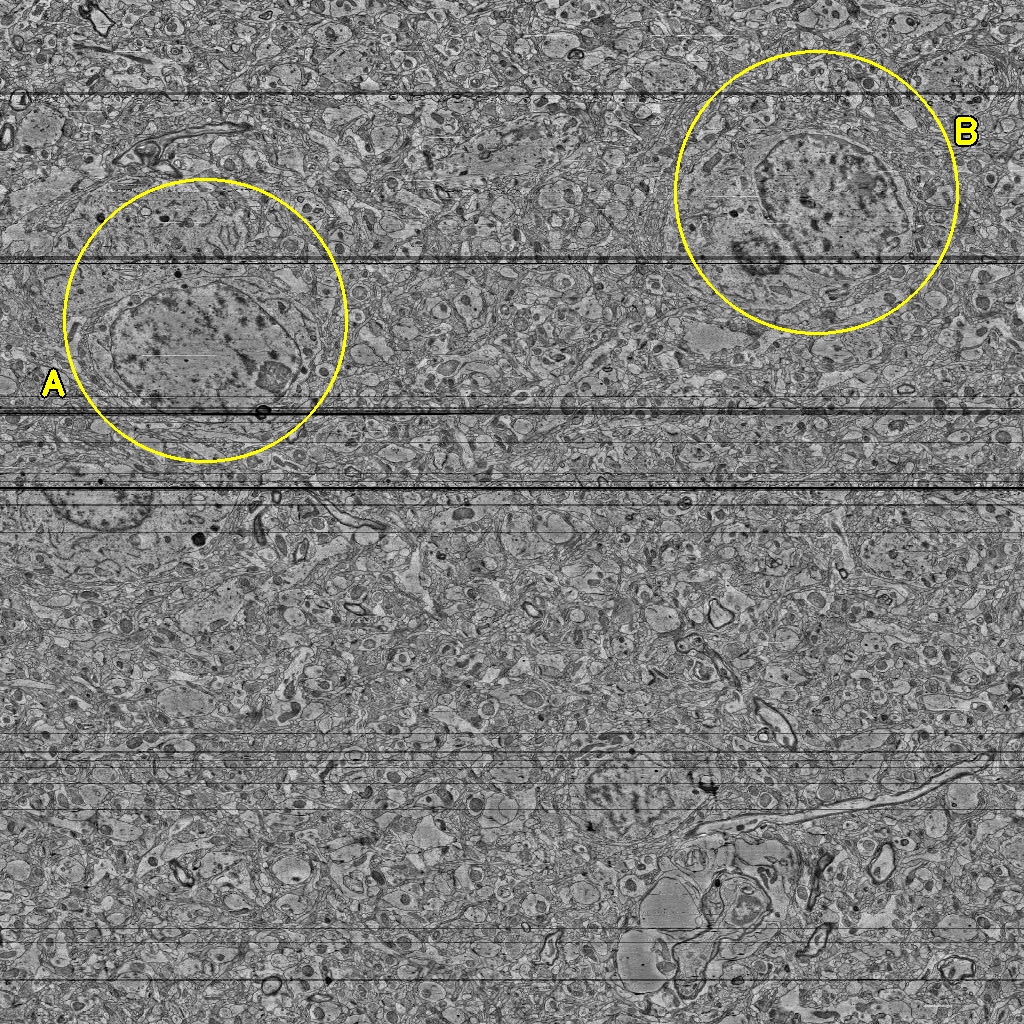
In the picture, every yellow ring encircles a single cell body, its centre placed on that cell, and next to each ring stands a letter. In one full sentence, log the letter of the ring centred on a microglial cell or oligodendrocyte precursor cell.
The ring with the requested cell at its centre bears the letter B.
